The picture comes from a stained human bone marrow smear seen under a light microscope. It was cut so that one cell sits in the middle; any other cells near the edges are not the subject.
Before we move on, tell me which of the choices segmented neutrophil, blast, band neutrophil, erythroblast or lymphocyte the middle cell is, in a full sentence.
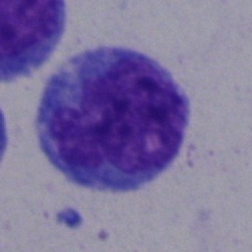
For this crop, the cell in the middle is a blast.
